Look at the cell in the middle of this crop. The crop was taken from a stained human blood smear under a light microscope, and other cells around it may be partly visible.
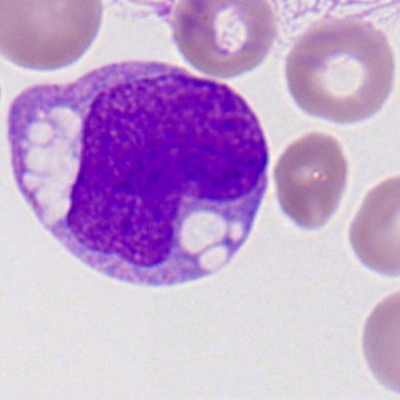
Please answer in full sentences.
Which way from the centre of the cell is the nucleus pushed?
The nucleus lies toward the right of the cell.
